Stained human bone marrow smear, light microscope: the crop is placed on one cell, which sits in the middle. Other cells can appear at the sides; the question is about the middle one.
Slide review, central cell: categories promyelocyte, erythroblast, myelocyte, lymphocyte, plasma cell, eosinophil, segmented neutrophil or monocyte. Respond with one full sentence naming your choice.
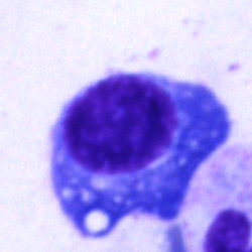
In the middle of this smear crop is a plasma cell.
